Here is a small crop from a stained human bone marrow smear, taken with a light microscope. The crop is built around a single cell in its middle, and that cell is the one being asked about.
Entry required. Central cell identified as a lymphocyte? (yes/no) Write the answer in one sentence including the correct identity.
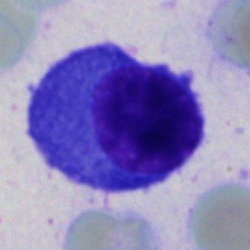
No, what lies at the heart of the crop is a plasma cell, not a lymphocyte.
